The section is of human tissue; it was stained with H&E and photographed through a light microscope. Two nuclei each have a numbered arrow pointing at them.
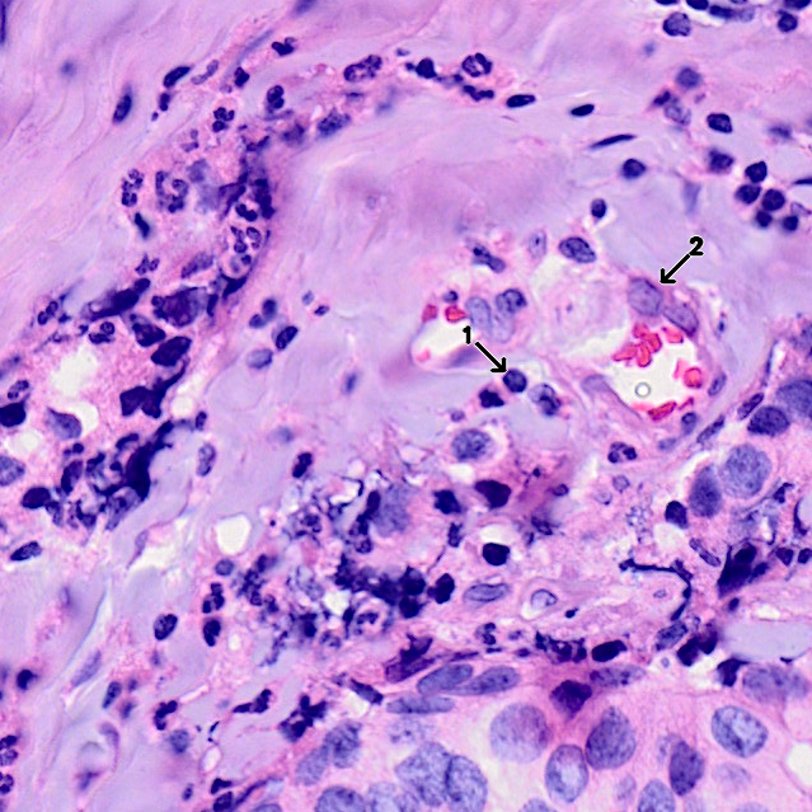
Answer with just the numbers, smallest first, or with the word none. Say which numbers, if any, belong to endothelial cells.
2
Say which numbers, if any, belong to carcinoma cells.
none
